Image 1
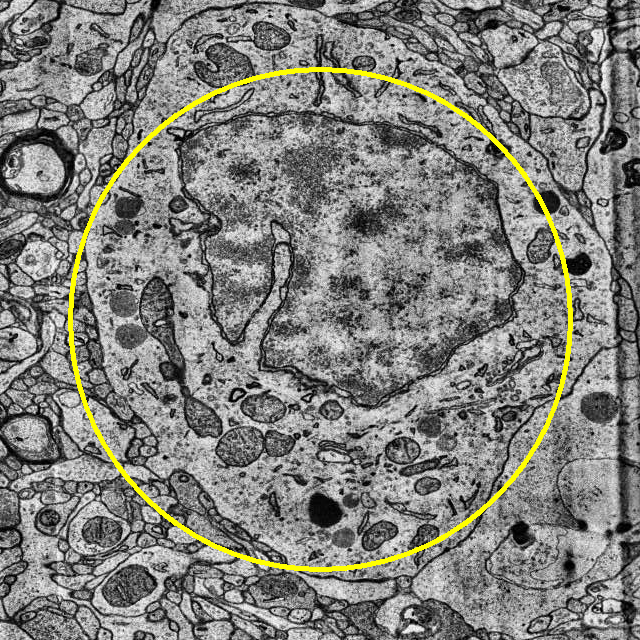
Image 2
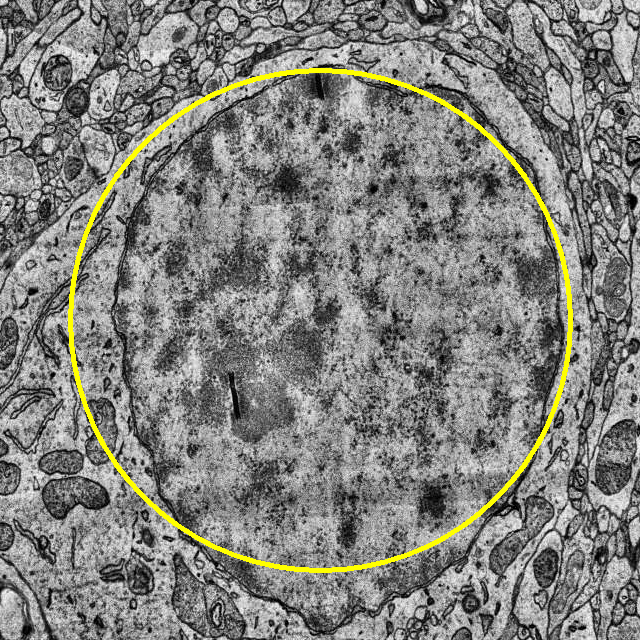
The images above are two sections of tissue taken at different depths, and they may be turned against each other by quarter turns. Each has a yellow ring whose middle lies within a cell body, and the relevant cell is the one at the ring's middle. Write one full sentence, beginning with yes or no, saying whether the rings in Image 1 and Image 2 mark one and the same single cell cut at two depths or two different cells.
Yes, one cell is ringed in yellow twice over.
